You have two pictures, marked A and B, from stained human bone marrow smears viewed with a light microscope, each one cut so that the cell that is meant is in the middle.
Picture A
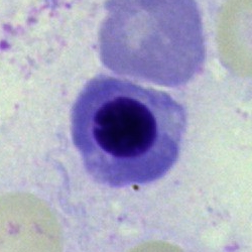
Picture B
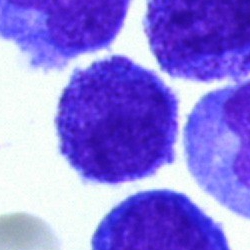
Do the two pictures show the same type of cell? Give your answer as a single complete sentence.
No, they differ: the cell is an erythroblast in picture A and a blast in picture B.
